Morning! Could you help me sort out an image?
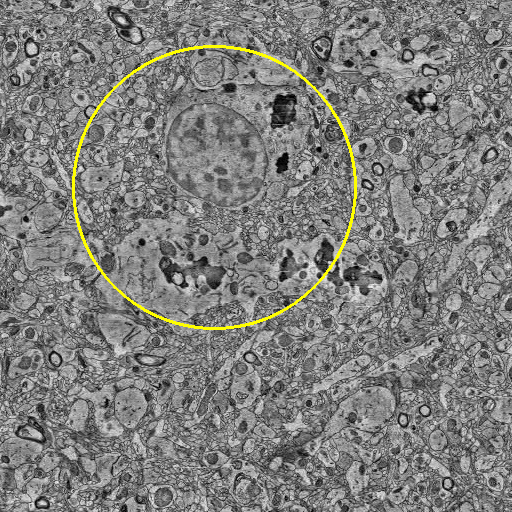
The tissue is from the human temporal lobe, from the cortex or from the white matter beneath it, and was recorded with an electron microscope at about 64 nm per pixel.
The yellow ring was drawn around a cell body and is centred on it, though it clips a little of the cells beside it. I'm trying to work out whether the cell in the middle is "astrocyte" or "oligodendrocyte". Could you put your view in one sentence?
The ringed cell body is that of an oligodendrocyte.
